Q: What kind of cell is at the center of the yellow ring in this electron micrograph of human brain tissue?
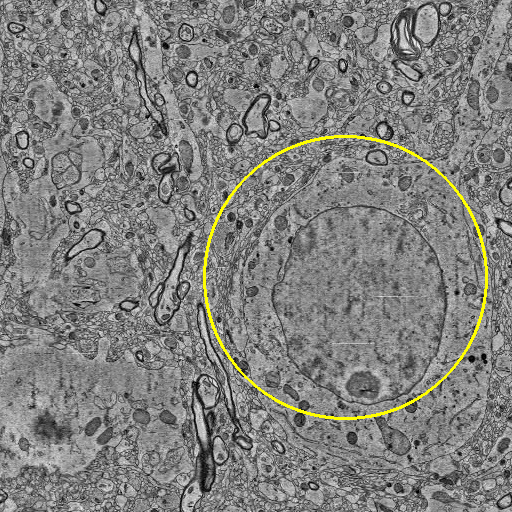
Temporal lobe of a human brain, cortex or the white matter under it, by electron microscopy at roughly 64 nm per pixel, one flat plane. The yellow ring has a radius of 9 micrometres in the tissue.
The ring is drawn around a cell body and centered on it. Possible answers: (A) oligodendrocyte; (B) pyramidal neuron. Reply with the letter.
B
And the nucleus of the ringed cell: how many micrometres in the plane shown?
Roughly 13 by 11 micrometres is the size of the nucleus in this plane.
